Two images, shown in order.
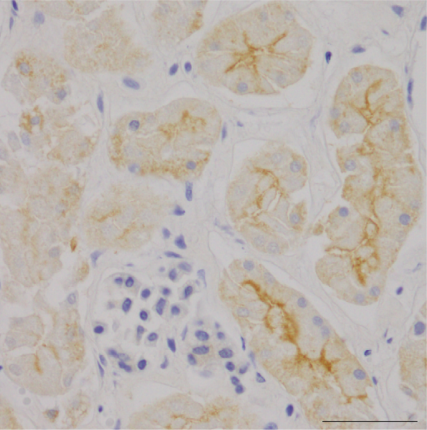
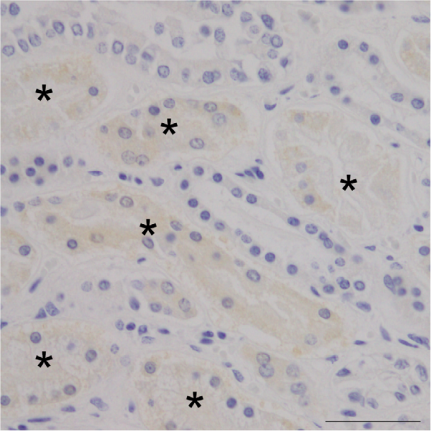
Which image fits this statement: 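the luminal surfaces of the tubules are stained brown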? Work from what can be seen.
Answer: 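Second image: tubules show only faint diffuse tan cytoplasm, with no brown line at the lumens. First image: distinct brown lines outline the tubule lumens. That points to this answer: the first image.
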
